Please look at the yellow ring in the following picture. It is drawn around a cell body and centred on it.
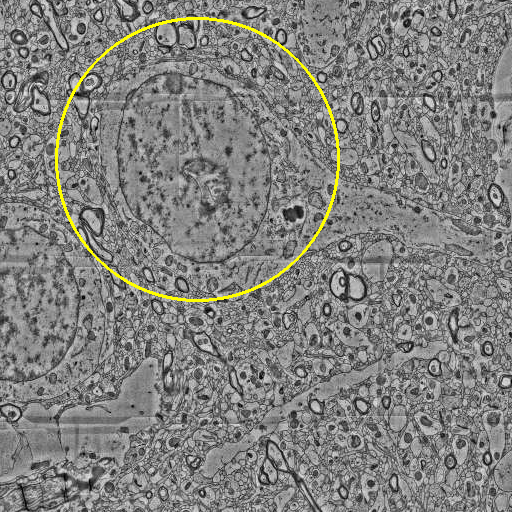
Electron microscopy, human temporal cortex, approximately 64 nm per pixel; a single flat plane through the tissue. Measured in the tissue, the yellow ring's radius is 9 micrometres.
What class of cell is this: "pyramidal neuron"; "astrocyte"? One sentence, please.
The ring surrounds the cell body of a pyramidal neuron.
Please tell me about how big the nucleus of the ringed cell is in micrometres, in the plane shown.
In this plane, approximately 13 by 10 micrometers.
